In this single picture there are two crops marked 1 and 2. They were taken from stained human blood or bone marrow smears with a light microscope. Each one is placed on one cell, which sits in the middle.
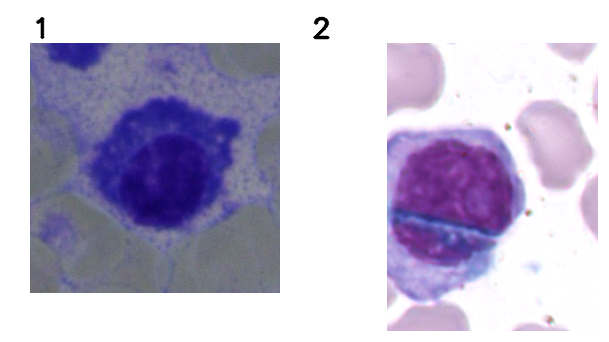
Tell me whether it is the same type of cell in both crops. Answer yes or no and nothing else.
yes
